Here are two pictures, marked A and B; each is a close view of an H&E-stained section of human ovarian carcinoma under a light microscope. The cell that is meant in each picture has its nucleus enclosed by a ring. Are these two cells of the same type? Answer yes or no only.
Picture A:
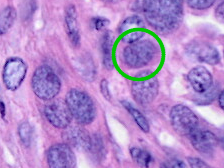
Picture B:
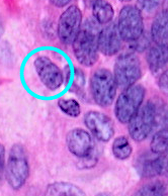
no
